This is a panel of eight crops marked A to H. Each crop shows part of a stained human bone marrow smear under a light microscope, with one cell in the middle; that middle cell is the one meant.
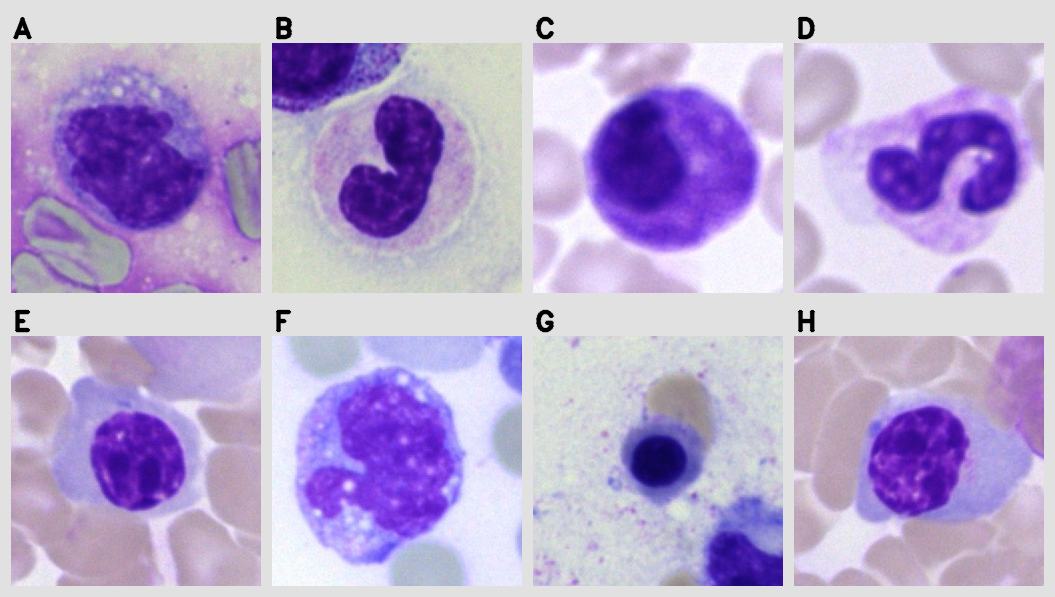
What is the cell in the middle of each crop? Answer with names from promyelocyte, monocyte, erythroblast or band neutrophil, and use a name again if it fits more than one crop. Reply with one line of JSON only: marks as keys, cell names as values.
{"A": "monocyte", "B": "band neutrophil", "C": "promyelocyte", "D": "band neutrophil", "E": "erythroblast", "F": "monocyte", "G": "erythroblast", "H": "erythroblast"}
